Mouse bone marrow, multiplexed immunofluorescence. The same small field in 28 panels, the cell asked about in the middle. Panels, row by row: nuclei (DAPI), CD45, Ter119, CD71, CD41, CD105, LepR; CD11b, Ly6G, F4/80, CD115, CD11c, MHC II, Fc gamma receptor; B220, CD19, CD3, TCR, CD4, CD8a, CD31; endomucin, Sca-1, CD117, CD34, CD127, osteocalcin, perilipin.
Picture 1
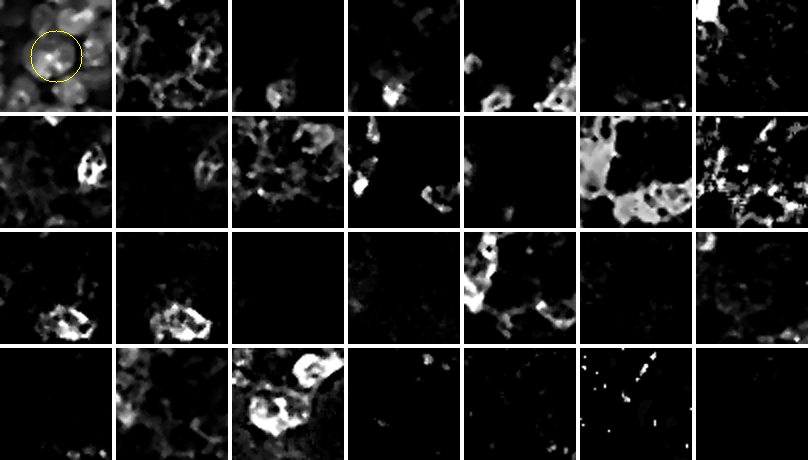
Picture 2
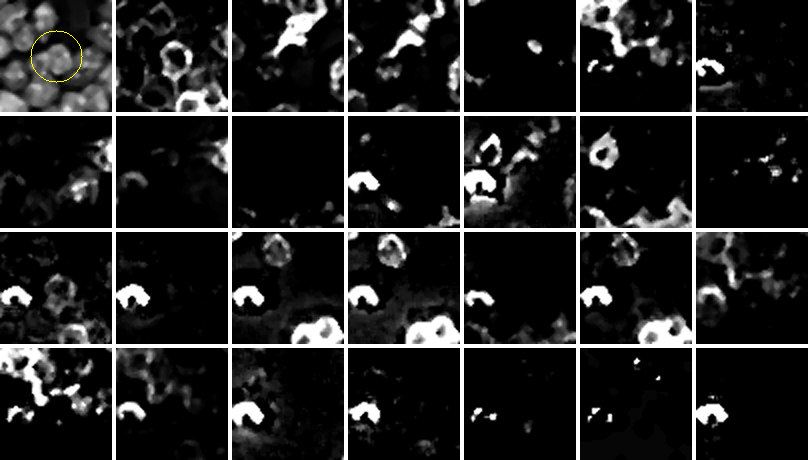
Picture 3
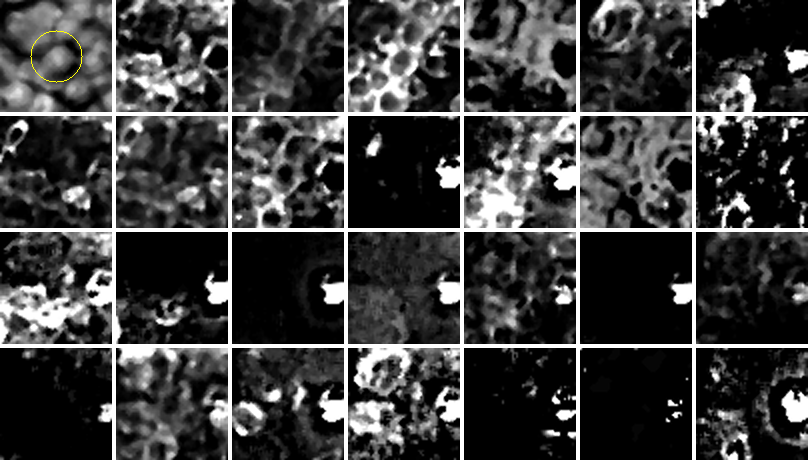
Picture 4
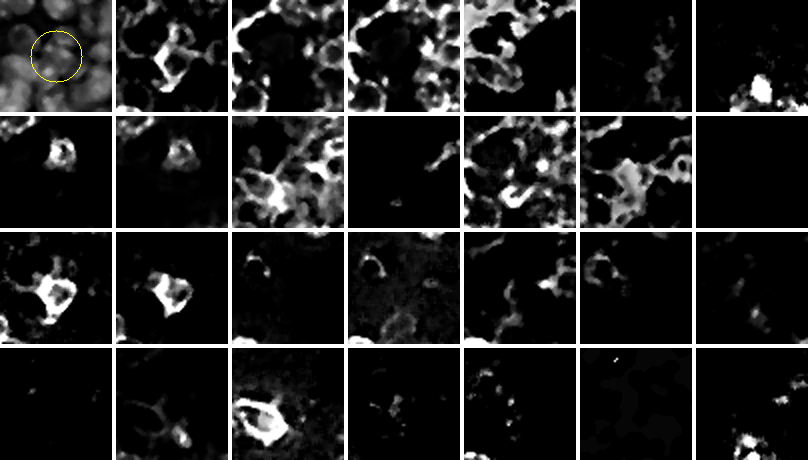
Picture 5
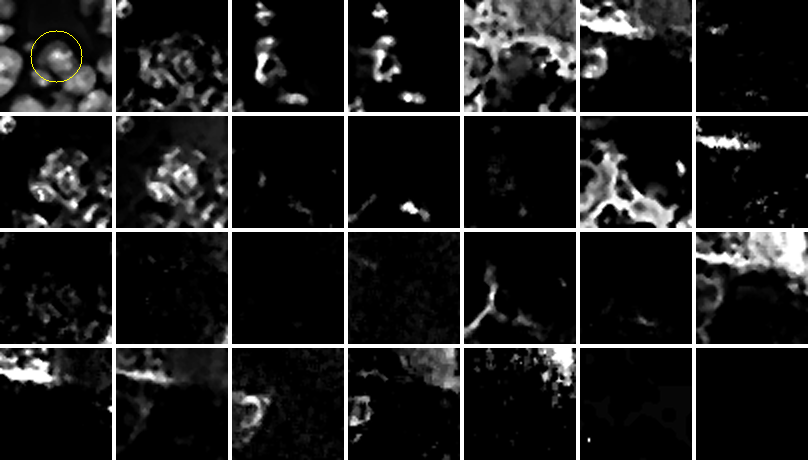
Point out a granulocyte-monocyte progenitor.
That is picture 1.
